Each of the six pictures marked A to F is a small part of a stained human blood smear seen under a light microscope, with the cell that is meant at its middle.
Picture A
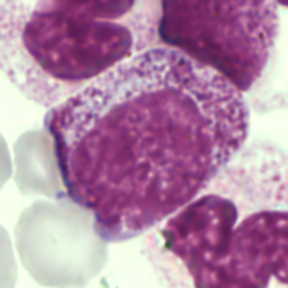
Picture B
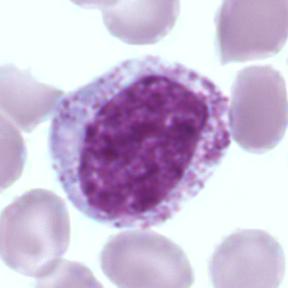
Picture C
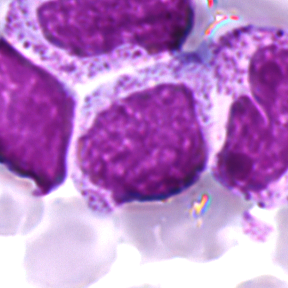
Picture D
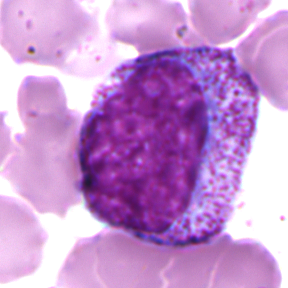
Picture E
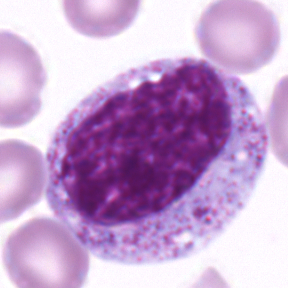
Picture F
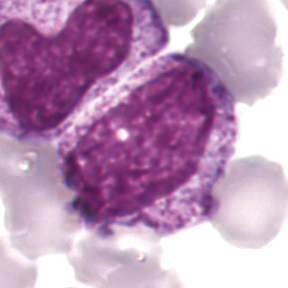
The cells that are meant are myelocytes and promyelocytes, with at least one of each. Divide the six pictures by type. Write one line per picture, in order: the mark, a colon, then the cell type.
A: myelocyte
B: myelocyte
C: myelocyte
D: promyelocyte
E: promyelocyte
F: myelocyte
